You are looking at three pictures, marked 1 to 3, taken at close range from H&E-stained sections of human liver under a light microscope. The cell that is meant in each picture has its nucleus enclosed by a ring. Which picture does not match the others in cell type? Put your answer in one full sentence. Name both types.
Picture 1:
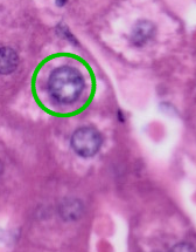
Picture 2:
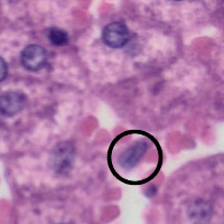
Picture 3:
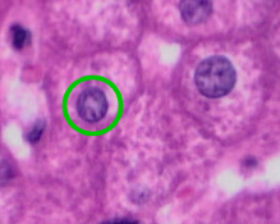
Picture 2 differs, because its cell is a Kupffer cell and the rest are hepatocytes.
